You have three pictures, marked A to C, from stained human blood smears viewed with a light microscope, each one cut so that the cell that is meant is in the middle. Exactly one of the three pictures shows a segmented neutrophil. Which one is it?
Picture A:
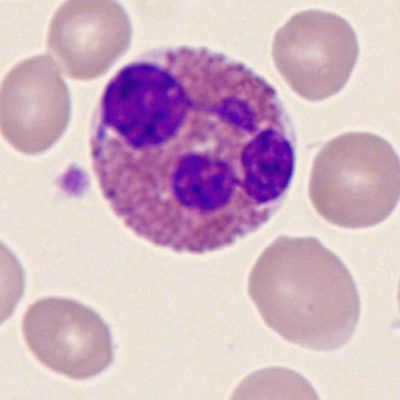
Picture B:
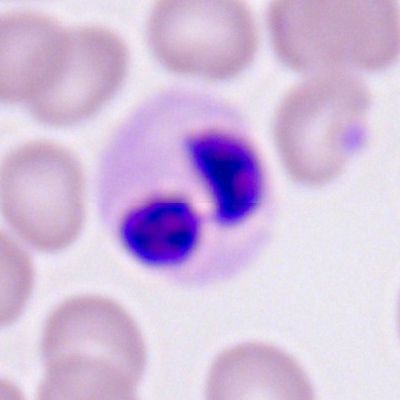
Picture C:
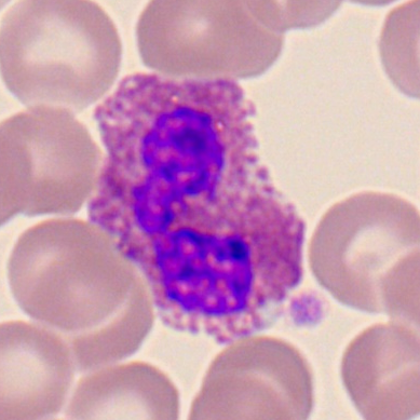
B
